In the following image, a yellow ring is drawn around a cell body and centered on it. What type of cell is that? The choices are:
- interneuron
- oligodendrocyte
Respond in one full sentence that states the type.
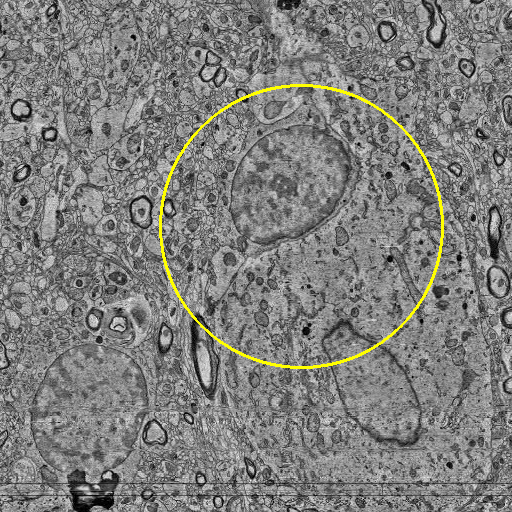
The cell at the center of the yellow ring in the image is an oligodendrocyte.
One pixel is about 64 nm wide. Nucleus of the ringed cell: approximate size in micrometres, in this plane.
The ringed cell's nucleus is about 9 micrometres long and 7 micrometres wide in this plane.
